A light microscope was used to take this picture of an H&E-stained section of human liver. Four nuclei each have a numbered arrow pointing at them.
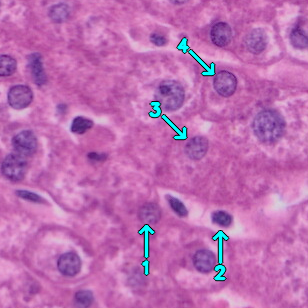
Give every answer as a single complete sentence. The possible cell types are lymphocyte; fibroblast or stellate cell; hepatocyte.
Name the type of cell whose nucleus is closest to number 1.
Closest to number 1 lies the nucleus of a lymphocyte.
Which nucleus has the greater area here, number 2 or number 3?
Of the two, number 3 is bigger and takes up about 1.5 times the area of number 2.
